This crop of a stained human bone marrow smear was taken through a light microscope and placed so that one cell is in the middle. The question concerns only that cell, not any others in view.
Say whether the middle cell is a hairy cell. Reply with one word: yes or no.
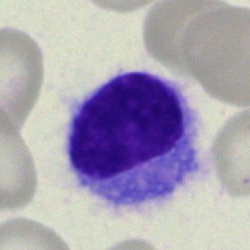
yes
